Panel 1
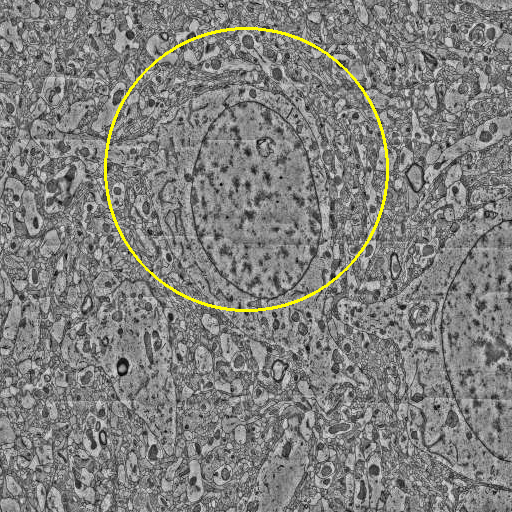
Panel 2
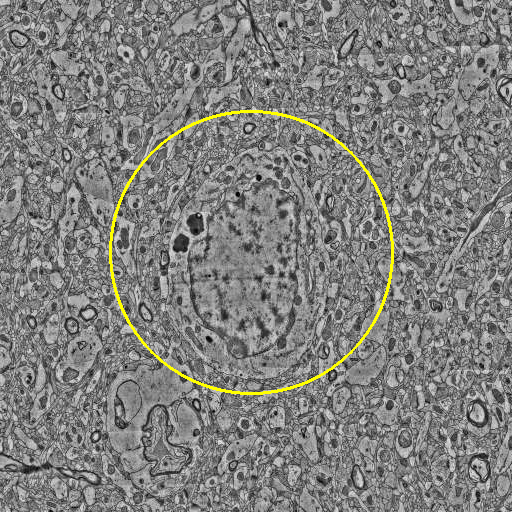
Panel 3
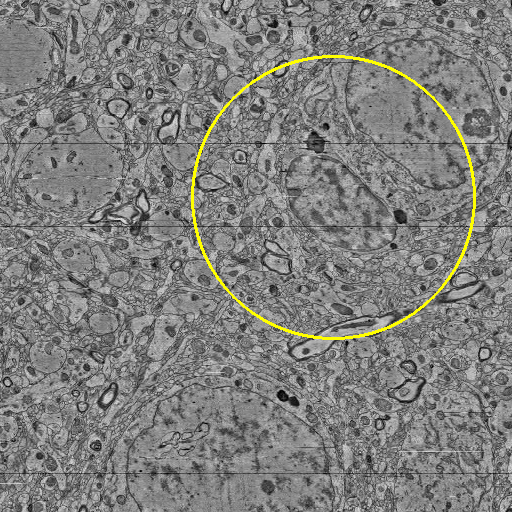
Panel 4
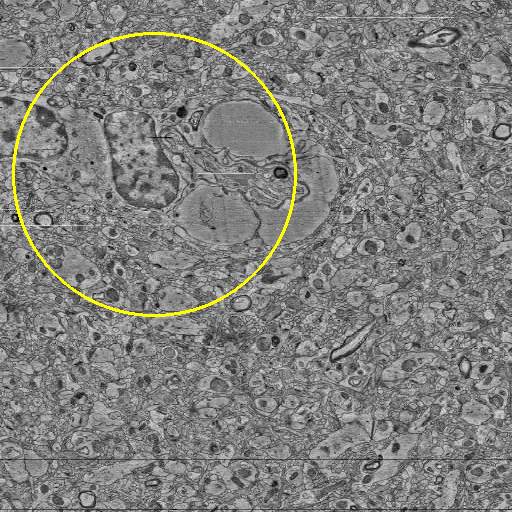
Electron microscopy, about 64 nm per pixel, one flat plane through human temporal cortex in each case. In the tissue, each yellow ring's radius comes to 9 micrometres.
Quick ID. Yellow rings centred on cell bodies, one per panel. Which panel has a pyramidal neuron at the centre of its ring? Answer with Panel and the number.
Panel 1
